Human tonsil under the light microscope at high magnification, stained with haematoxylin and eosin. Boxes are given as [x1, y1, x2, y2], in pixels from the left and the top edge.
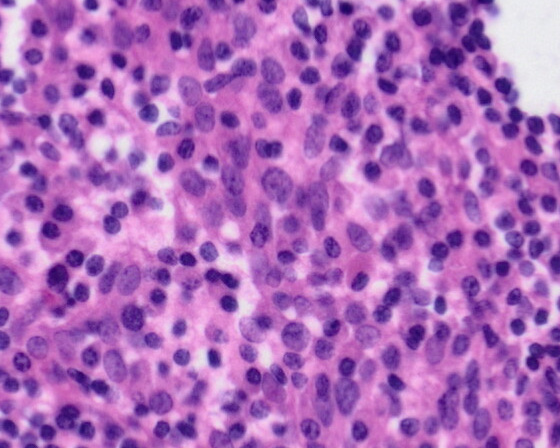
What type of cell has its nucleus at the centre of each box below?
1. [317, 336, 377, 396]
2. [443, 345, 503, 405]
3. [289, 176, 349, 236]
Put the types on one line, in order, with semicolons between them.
plasma cell; squamous epithelial cell; squamous epithelial cell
